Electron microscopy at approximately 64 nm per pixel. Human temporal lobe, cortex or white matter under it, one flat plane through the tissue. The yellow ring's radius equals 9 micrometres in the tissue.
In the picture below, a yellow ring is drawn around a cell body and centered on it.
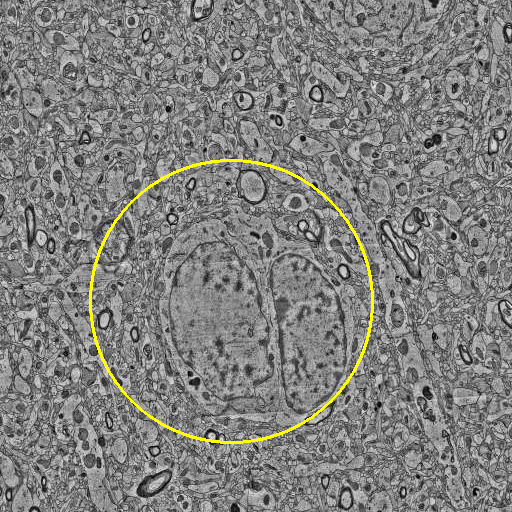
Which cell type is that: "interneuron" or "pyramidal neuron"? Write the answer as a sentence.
The cell centered in the ring is an interneuron.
